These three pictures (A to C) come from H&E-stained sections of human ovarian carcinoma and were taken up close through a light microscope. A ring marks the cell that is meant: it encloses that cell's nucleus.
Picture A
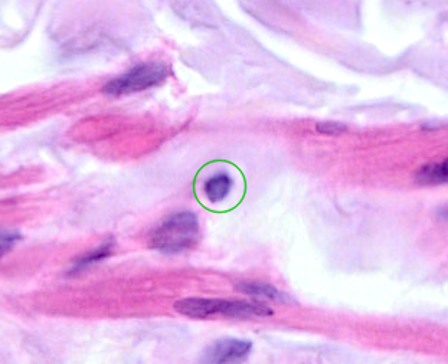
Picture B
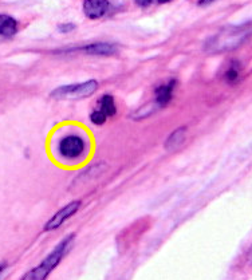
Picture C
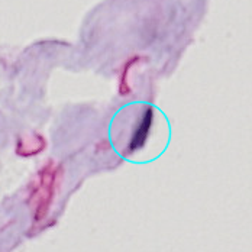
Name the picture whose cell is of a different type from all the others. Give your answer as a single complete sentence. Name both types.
All pictures except C show lymphocytes; picture C shows an endothelial cell.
